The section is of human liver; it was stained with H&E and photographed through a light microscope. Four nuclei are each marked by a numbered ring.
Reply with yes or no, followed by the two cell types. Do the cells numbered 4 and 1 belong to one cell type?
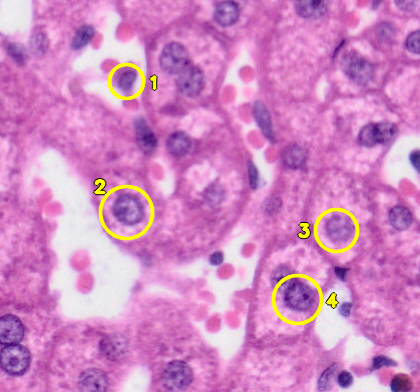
No; cell 4 is a hepatocyte, and cell 1 is a Kupffer cell.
